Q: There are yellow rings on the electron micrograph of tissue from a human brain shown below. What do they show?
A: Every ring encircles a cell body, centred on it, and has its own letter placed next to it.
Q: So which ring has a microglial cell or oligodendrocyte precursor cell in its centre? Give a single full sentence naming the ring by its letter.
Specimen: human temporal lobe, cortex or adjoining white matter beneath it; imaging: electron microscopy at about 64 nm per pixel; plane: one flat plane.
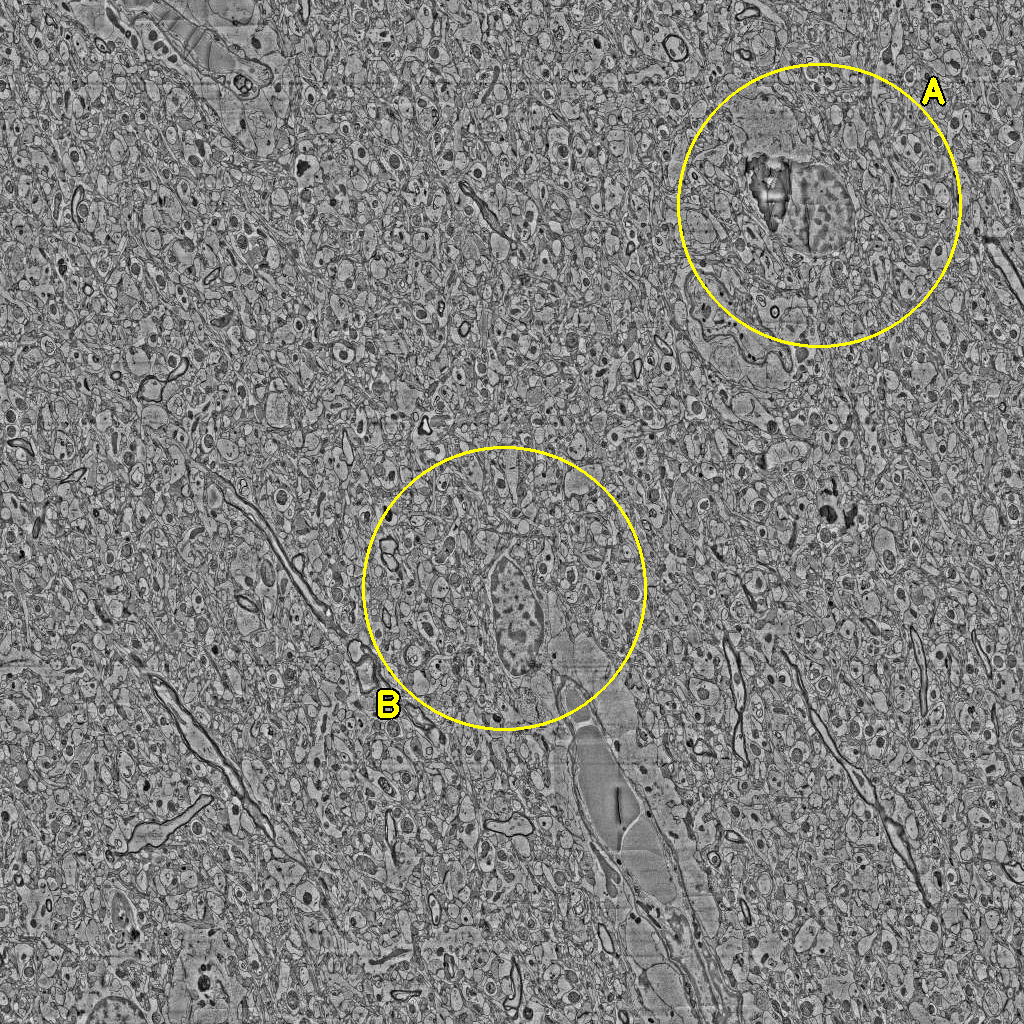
Ring B has the cell asked for at its centre in the picture.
